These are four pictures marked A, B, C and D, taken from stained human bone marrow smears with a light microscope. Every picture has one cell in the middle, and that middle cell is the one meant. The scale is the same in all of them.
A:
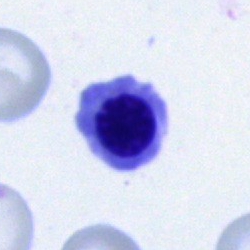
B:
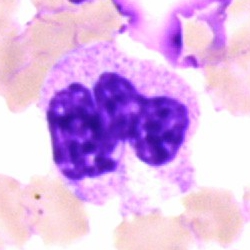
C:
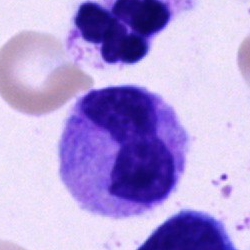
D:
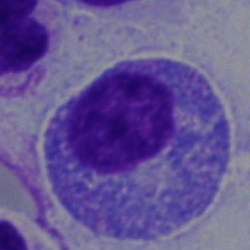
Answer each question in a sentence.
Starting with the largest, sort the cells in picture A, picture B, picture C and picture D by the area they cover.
Largest first: D, B, C, A.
